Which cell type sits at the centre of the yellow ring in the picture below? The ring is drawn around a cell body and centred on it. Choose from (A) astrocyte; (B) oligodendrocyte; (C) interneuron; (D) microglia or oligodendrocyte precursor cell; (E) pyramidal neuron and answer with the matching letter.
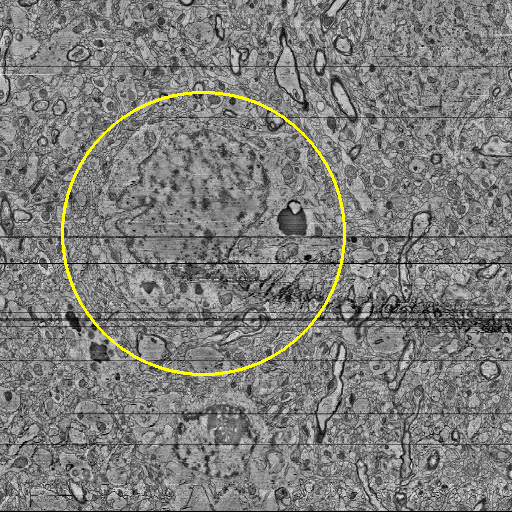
C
